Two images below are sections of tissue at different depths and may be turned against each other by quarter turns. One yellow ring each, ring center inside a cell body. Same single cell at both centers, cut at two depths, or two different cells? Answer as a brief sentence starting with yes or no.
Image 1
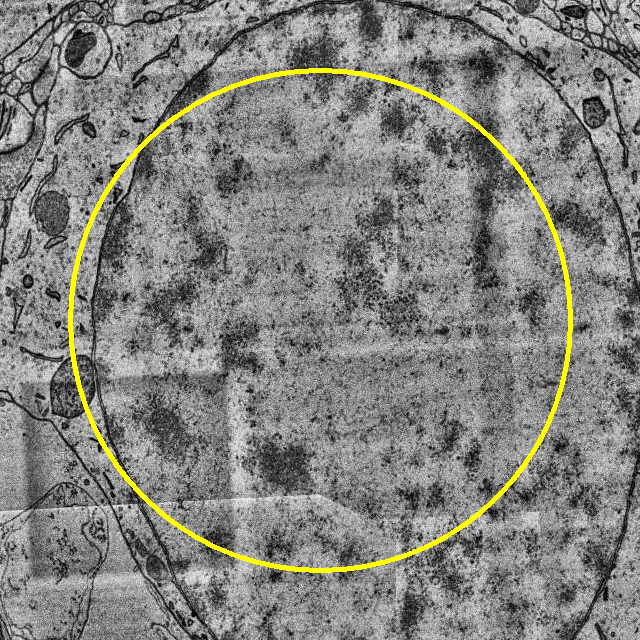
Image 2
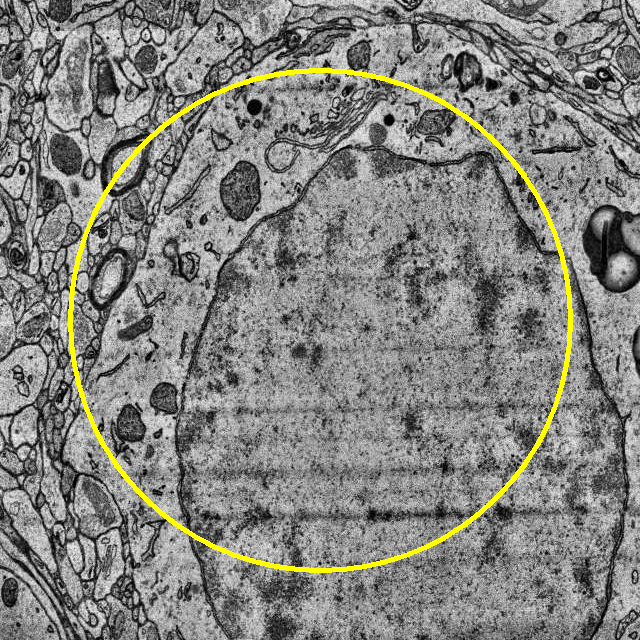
No, the pair of rings marks a pair of different cells.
